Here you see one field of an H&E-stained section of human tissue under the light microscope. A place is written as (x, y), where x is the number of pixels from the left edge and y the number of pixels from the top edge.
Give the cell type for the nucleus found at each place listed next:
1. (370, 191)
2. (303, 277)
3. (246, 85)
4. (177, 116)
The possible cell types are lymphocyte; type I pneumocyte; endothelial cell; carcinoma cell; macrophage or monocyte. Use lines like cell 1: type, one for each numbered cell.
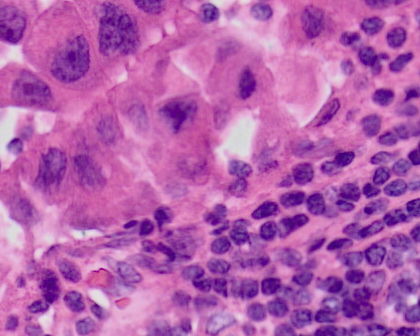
cell 1: lymphocyte
cell 2: lymphocyte
cell 3: carcinoma cell
cell 4: carcinoma cell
